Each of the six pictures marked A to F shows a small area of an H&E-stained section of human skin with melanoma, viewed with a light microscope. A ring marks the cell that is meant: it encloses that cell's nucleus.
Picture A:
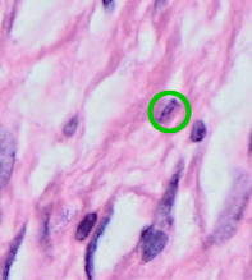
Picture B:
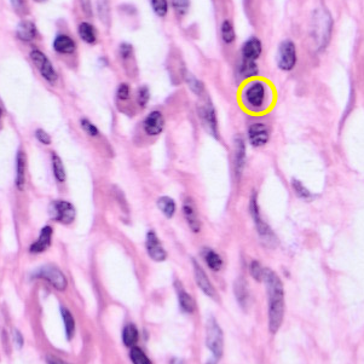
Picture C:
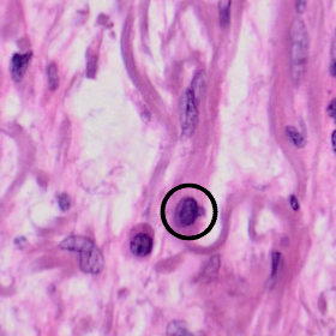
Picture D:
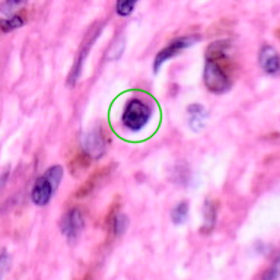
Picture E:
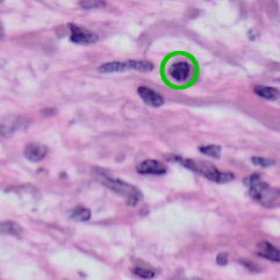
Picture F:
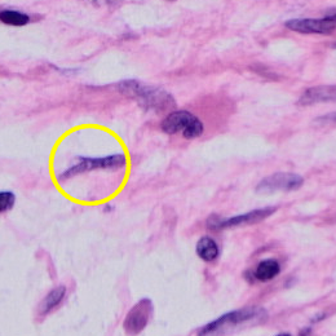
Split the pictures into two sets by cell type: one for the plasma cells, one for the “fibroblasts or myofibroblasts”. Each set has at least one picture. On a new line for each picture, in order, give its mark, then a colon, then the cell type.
A: fibroblast or myofibroblast
B: plasma cell
C: plasma cell
D: plasma cell
E: plasma cell
F: fibroblast or myofibroblast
